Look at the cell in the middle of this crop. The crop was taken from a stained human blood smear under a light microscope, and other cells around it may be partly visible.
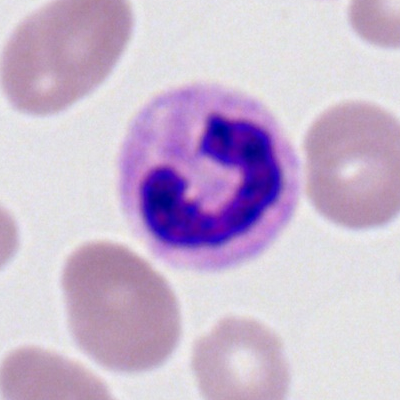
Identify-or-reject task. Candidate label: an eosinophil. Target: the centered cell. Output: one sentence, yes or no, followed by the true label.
No, the cell in the middle is categorised as a band neutrophil, not an eosinophil.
